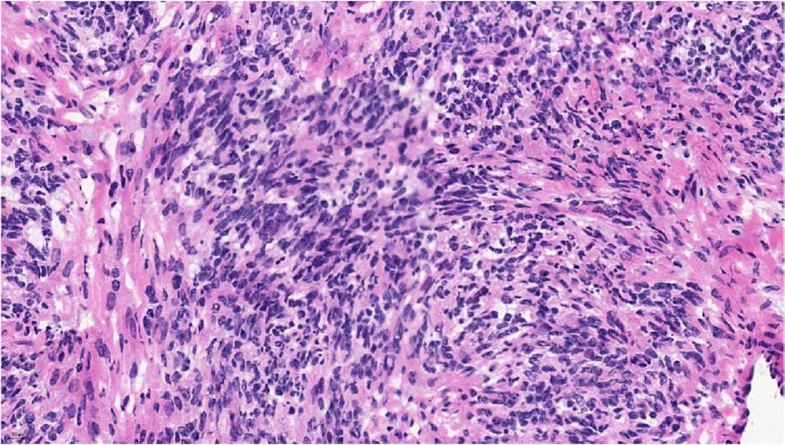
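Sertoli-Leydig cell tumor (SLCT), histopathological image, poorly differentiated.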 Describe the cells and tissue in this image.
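The cells are crowded and oval to spindle-shaped, with dark, elongated, hyperchromatic nuclei and scant cytoplasm. They run in streaming, intersecting fascicles. Strands of pale pink collagenous stroma course between the cell groups, most prominently at the left side of the field. Cells with abundant pink cytoplasm are scarce.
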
